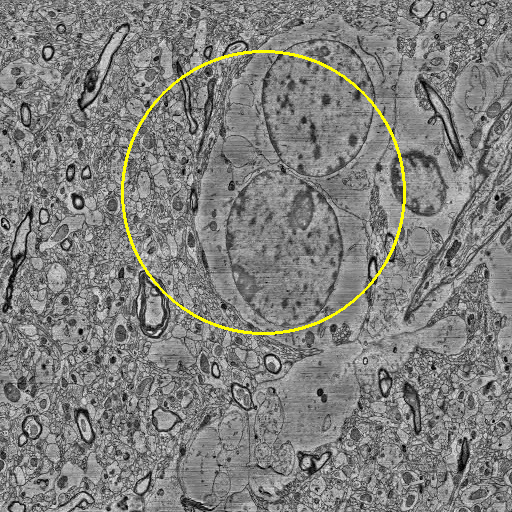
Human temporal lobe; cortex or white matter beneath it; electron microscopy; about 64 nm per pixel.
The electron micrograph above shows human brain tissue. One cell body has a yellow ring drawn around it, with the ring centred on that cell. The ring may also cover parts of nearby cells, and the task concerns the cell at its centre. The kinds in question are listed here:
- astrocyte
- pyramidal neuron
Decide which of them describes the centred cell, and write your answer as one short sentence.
The centred cell is an astrocyte.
